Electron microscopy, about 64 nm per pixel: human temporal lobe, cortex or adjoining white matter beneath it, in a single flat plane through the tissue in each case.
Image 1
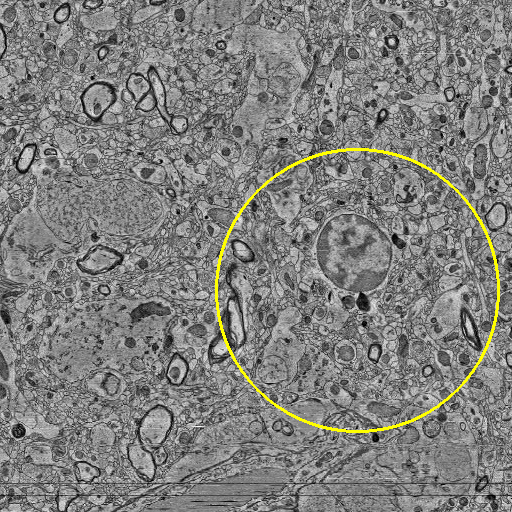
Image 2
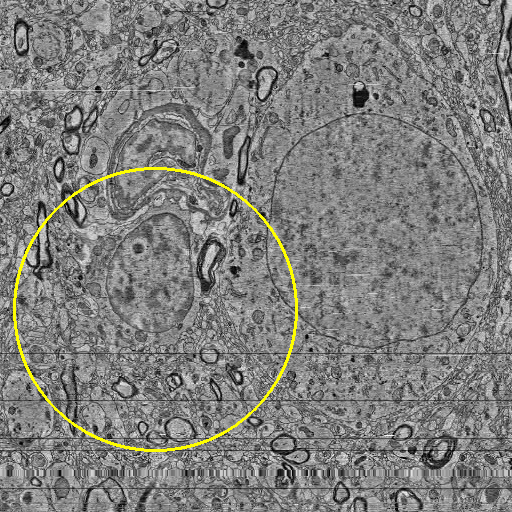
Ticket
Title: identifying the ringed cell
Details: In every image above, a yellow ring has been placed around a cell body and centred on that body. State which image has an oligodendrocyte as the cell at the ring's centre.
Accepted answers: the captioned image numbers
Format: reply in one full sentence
The ring in image 2 is centred on the cell in question.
